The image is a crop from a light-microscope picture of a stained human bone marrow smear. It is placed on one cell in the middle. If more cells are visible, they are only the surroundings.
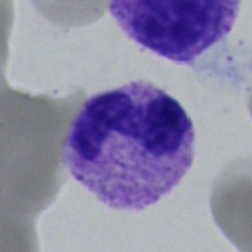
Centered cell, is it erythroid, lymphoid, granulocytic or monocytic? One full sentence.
The lineage represented by the cell in the middle is granulocytic.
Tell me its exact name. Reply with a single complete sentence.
Classified as a band neutrophil is the cell in the middle of this crop.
